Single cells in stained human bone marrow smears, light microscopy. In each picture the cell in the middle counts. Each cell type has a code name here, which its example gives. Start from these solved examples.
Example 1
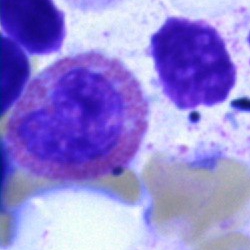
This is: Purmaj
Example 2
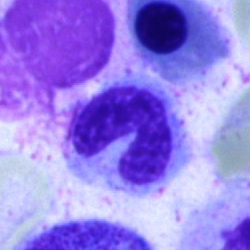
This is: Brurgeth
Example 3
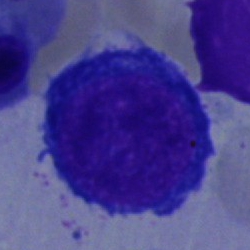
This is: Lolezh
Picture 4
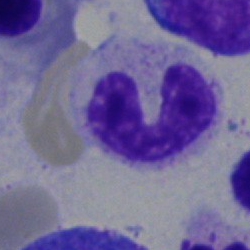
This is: Brurgeth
